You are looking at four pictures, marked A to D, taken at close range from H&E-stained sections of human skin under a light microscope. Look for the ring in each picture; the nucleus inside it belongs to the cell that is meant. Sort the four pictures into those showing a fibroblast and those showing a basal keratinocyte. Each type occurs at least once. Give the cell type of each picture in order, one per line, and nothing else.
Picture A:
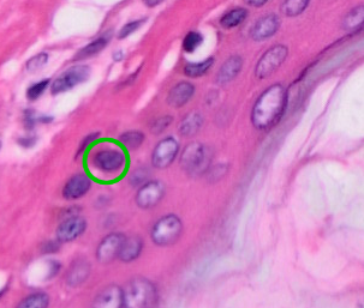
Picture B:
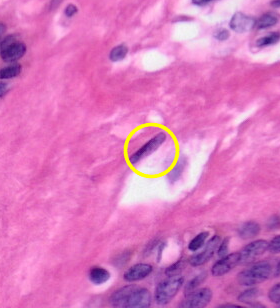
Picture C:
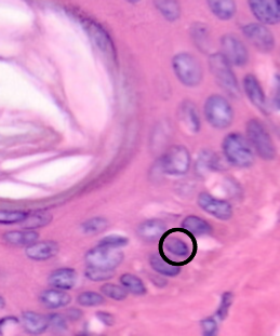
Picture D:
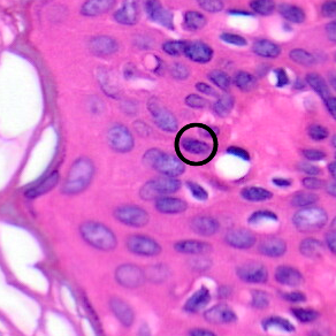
basal keratinocyte
fibroblast
basal keratinocyte
basal keratinocyte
